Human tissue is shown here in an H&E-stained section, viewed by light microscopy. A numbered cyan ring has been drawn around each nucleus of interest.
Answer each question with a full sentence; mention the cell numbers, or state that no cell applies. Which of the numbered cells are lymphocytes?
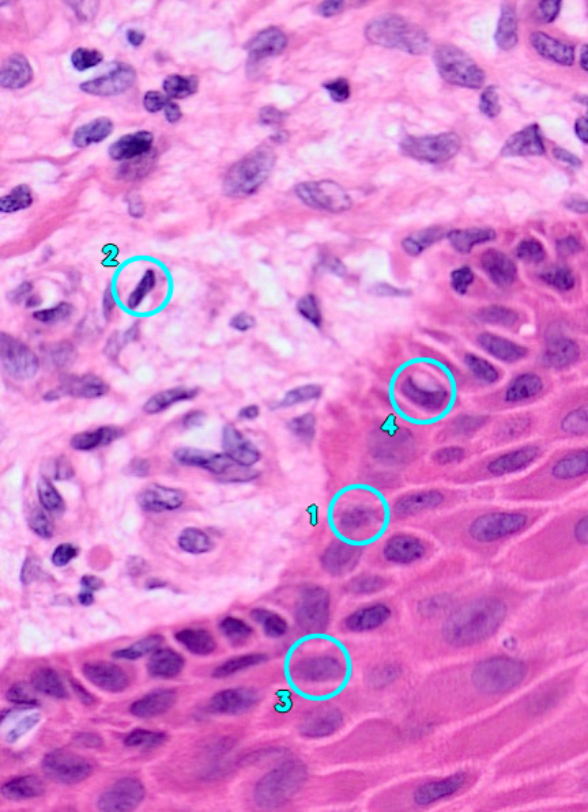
Only number 2 is a lymphocyte; none of the others are.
